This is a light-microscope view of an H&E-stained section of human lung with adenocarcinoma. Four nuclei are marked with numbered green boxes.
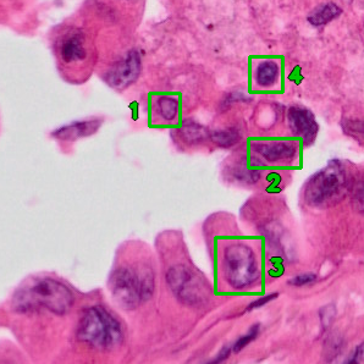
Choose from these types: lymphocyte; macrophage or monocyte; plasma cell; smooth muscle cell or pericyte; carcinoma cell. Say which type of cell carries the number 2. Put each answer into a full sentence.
The nucleus labeled 2 belongs to a carcinoma cell.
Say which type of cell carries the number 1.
The cell referenced by the number 1 is a macrophage or monocyte in this field.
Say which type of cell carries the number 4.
Recognised here as a lymphocyte is the cell numbered 4.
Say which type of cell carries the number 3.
Cell 3, among those numbered, is a carcinoma cell.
